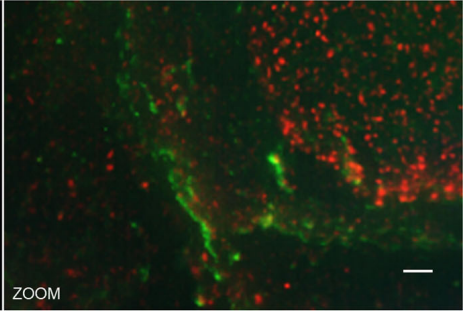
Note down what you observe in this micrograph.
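Many small round red dots, each about the size of a nucleus, are scattered across the field, packed densely in the upper right and more thinly elsewhere. Green signal forms elongated, fibre-like streaks and patches that run roughly diagonally through the middle of the field, largely apart from the densest red clusters, with some overlap at their edges.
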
